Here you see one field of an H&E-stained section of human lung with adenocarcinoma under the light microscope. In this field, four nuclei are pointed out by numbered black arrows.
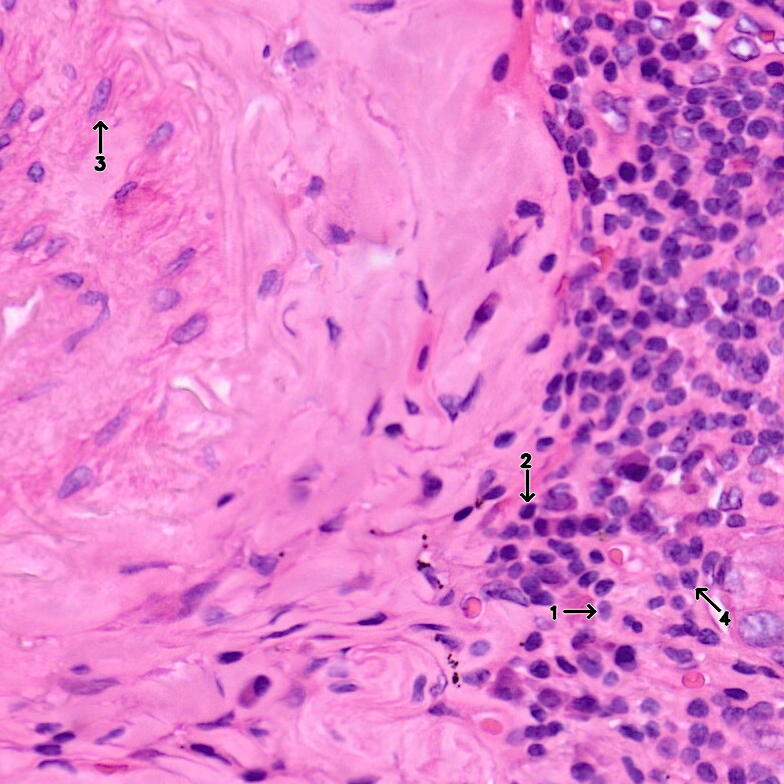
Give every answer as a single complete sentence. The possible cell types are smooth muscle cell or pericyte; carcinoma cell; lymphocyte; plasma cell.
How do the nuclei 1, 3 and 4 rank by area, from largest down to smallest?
Largest first, the order by area is 3, 4, 1.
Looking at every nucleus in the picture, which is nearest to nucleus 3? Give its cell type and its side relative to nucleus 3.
The nearest one is a smooth muscle cell or pericyte, found above and to the left of nucleus 3.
